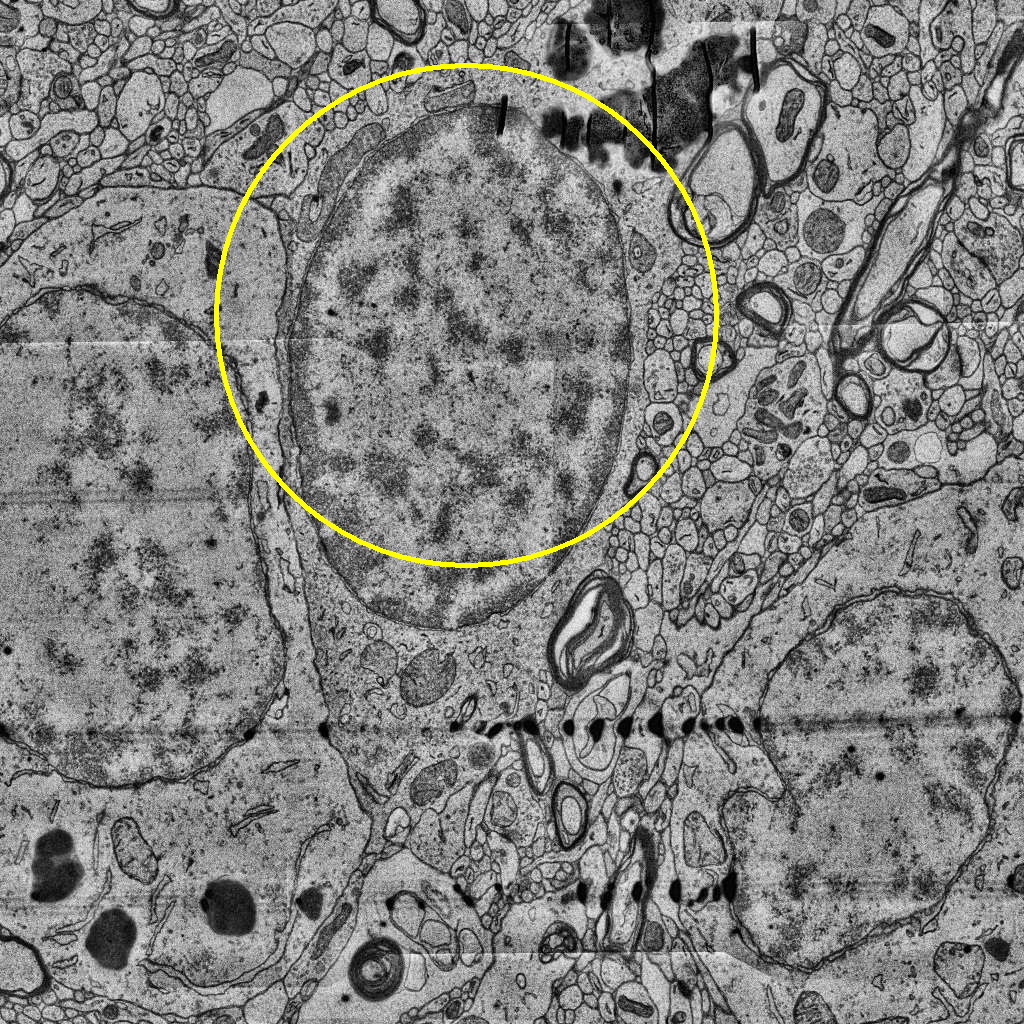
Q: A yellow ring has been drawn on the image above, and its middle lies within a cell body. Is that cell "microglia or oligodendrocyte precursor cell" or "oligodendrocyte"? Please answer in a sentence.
The ring's middle lies in the cell body of an oligodendrocyte.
